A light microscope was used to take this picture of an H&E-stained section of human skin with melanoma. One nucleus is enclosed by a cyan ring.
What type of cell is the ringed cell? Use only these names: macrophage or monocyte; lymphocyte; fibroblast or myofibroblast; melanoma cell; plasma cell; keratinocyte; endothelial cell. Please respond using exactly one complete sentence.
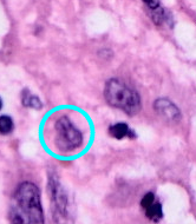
In terms of identity, the ringed cell is a macrophage or monocyte.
